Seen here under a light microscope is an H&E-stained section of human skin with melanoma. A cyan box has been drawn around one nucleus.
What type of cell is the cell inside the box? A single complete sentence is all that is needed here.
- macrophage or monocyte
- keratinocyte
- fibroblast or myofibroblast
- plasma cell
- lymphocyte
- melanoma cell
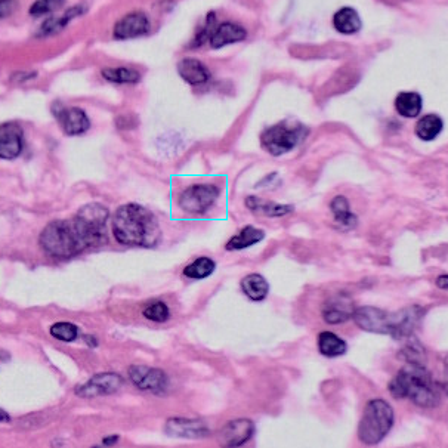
Cytologically, the cell inside the box is to be regarded as a macrophage or monocyte.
